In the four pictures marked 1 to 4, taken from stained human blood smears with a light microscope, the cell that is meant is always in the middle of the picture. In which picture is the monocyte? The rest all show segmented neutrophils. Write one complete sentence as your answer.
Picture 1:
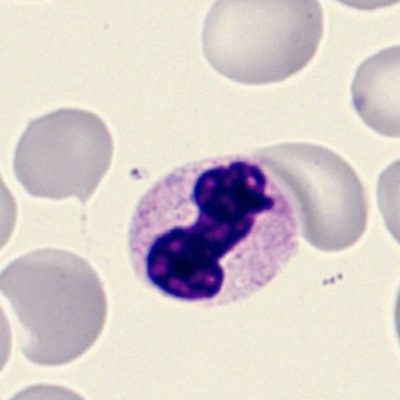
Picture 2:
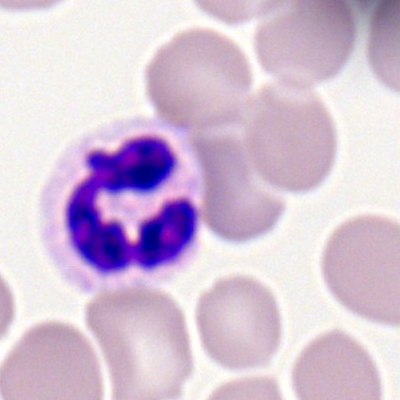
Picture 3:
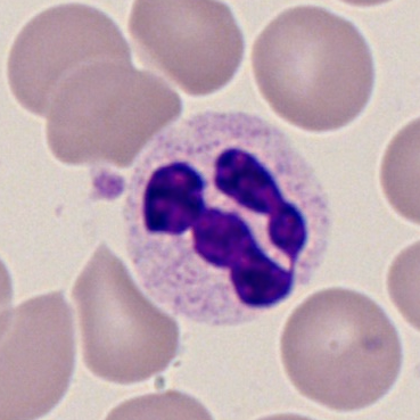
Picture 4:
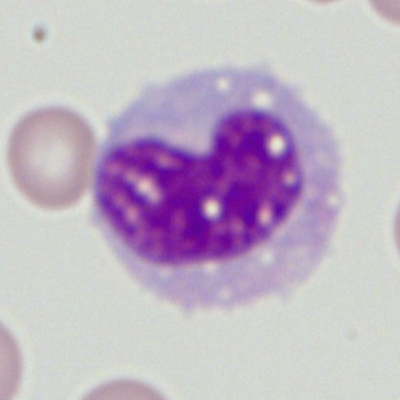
The picture with the monocyte is 4.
